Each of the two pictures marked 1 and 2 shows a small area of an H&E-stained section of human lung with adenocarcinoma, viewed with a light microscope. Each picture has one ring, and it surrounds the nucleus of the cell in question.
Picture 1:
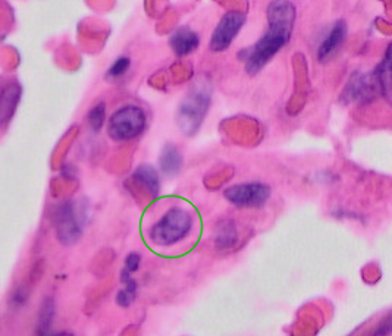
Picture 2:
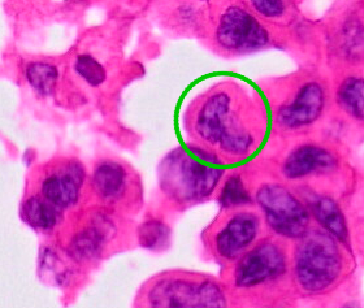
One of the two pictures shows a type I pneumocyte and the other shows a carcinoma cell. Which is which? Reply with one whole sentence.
Picture 2 shows a carcinoma cell, while picture 1 shows a type I pneumocyte.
